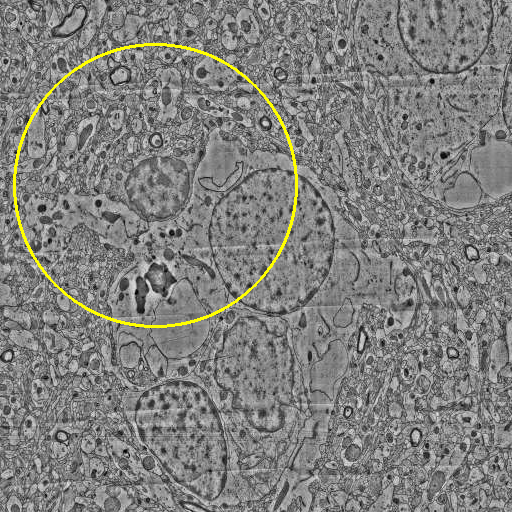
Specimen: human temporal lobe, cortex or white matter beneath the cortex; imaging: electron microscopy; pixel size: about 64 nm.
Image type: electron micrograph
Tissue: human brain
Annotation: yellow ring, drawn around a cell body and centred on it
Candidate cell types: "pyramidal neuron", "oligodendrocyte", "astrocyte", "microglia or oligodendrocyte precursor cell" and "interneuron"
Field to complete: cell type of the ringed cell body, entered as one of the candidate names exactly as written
oligodendrocyte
